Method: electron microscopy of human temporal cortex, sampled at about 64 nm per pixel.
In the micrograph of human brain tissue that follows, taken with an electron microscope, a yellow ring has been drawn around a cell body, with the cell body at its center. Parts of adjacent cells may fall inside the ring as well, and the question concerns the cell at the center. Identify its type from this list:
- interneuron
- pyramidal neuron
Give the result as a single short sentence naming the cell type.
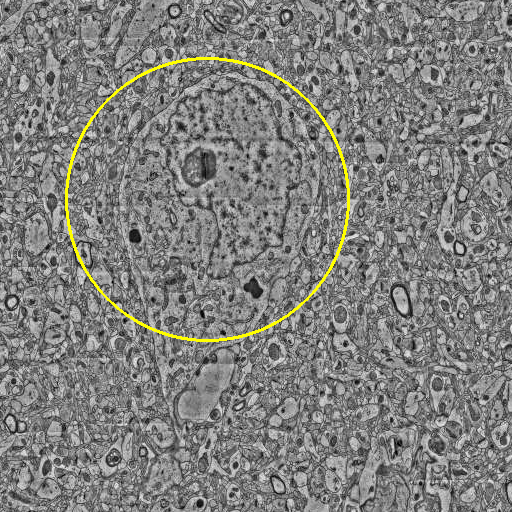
The ring is centered on an interneuron.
